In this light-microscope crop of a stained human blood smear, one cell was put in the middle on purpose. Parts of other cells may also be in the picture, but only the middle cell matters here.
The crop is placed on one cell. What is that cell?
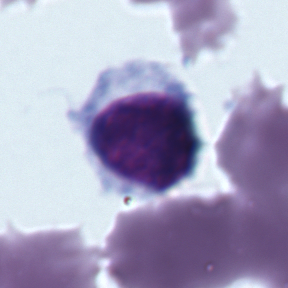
hairy cell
